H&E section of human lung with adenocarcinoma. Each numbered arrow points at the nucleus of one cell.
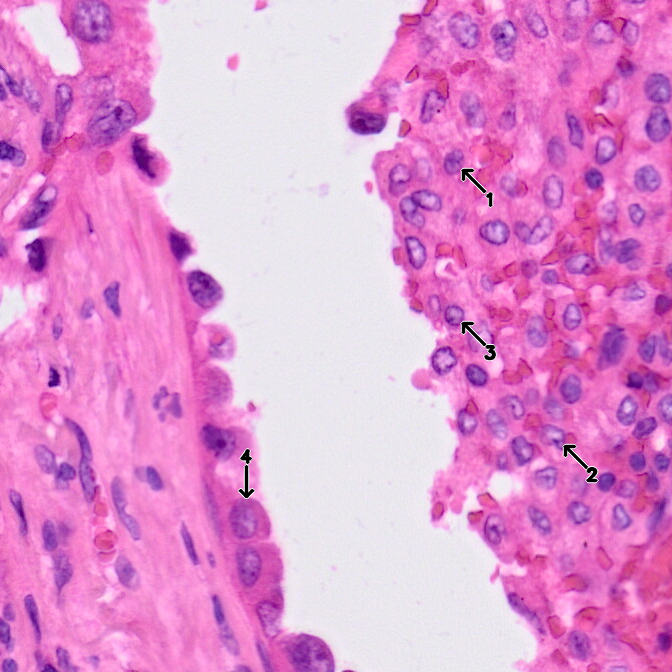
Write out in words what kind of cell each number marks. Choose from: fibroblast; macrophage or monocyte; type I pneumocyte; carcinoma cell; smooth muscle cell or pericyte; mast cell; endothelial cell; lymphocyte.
Cells 1, 2 and 3 are macrophages or monocytes. Cell 4 is a carcinoma cell.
